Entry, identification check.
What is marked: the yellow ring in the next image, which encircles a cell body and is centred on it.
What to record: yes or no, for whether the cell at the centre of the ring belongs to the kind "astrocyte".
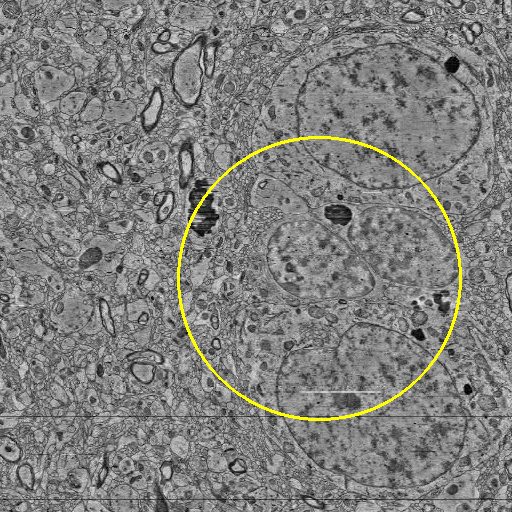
No, it belongs to another kind.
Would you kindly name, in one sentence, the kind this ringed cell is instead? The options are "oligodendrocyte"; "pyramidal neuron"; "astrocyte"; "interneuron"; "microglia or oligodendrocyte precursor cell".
Instead, the ring in this picture marks an oligodendrocyte.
